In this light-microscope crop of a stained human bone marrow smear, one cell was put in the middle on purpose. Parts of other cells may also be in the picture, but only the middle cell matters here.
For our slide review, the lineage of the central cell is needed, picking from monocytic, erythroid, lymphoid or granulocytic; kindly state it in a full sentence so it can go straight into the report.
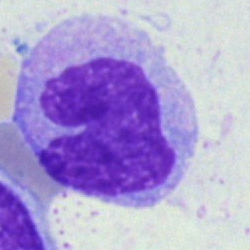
The cell occupying the middle of the crop is classified within the monocytic lineage.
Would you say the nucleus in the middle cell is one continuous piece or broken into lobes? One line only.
Round, oval or kidney-shaped, the nucleus is one compact mass.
